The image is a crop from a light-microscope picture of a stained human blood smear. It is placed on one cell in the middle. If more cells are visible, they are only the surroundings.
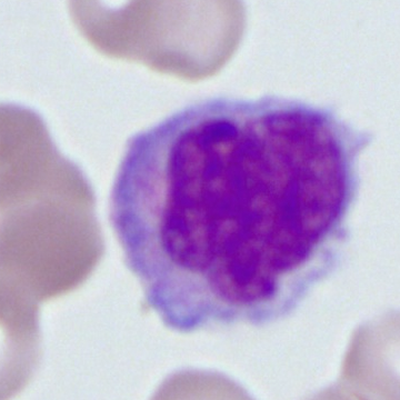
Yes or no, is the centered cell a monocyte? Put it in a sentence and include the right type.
Yes, the cell that lies centrally is a monocyte.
